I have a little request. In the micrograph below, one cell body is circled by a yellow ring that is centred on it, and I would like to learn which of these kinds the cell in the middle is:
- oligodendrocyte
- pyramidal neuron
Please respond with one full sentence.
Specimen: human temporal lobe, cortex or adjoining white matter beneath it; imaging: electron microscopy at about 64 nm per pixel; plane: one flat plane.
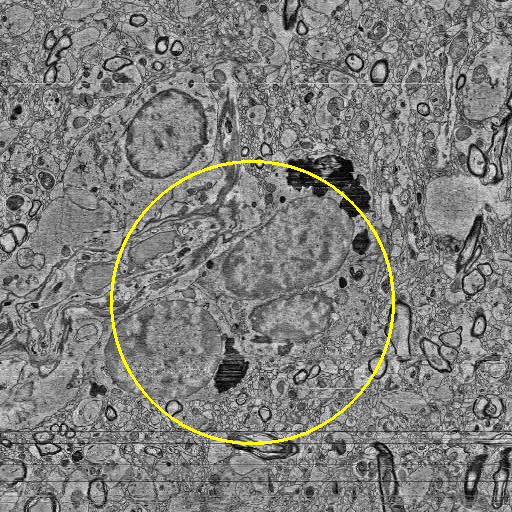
The cell sitting in the middle of the yellow ring in the micrograph is an oligodendrocyte.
